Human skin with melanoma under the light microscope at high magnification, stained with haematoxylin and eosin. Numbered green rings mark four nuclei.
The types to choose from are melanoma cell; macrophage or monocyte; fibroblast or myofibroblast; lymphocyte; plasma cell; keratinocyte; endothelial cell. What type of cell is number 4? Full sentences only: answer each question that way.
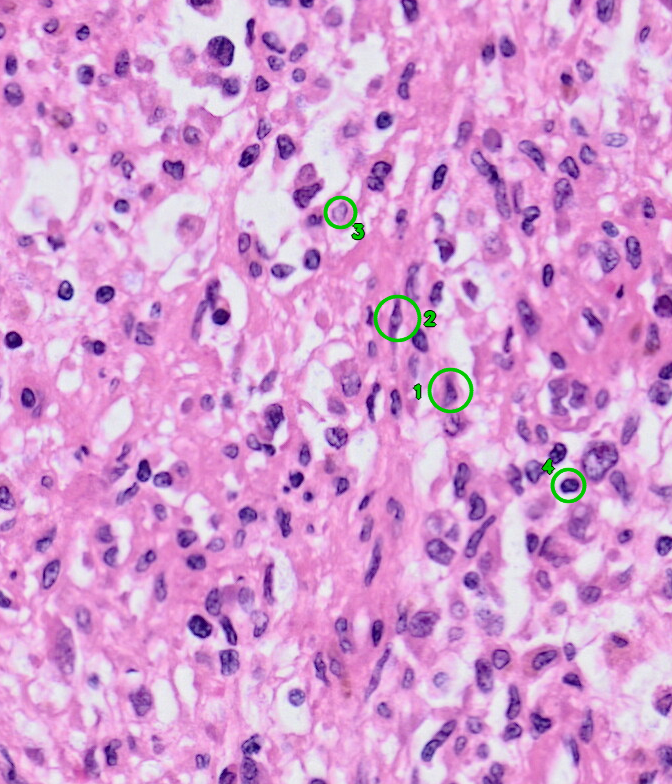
Numbered cell 4 is a lymphocyte in this tissue section.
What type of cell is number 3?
Cell 3 in the field is a macrophage or monocyte.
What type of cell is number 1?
Cell 1, among those numbered, is a macrophage or monocyte.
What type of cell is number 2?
The cell marked with the number 2 is a fibroblast or myofibroblast.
